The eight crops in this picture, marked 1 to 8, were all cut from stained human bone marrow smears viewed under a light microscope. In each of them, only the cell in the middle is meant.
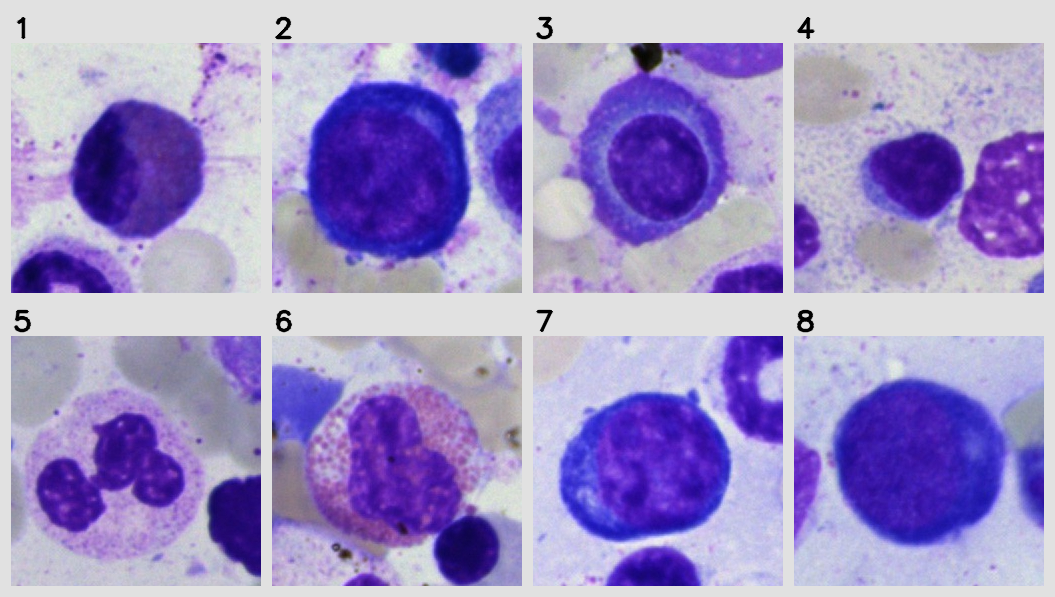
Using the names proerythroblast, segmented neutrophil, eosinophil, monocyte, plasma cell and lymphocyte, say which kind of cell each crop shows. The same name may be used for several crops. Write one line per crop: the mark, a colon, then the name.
1: eosinophil
2: proerythroblast
3: plasma cell
4: lymphocyte
5: segmented neutrophil
6: eosinophil
7: proerythroblast
8: proerythroblast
